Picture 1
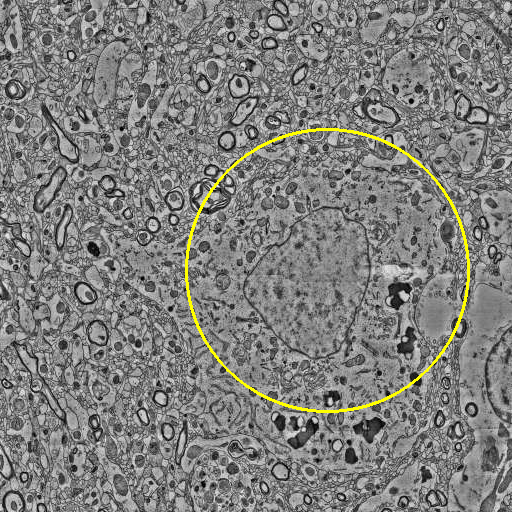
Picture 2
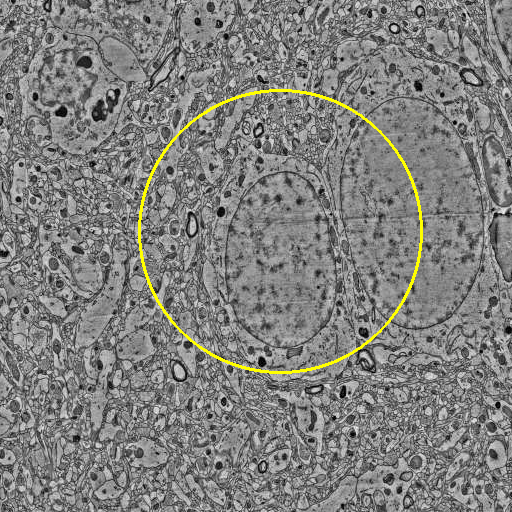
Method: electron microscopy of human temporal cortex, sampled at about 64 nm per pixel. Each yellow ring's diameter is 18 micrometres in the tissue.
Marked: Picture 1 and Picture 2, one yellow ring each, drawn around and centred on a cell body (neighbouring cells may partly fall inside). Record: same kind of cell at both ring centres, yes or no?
yes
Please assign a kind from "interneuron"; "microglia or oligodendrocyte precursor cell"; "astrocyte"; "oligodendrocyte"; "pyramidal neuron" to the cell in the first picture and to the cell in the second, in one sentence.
Each one of the two ringed cells is a pyramidal neuron.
